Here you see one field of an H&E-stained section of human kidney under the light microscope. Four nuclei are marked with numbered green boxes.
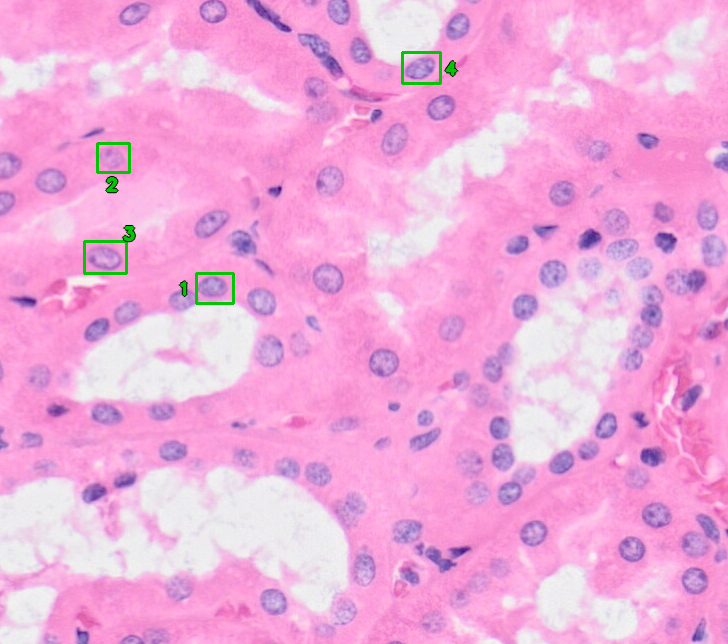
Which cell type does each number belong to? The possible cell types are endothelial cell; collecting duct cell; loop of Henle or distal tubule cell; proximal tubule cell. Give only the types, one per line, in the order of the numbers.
loop of Henle or distal tubule cell
proximal tubule cell
proximal tubule cell
loop of Henle or distal tubule cell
